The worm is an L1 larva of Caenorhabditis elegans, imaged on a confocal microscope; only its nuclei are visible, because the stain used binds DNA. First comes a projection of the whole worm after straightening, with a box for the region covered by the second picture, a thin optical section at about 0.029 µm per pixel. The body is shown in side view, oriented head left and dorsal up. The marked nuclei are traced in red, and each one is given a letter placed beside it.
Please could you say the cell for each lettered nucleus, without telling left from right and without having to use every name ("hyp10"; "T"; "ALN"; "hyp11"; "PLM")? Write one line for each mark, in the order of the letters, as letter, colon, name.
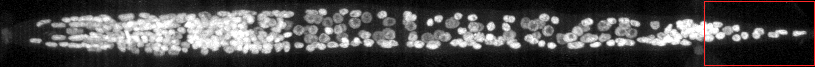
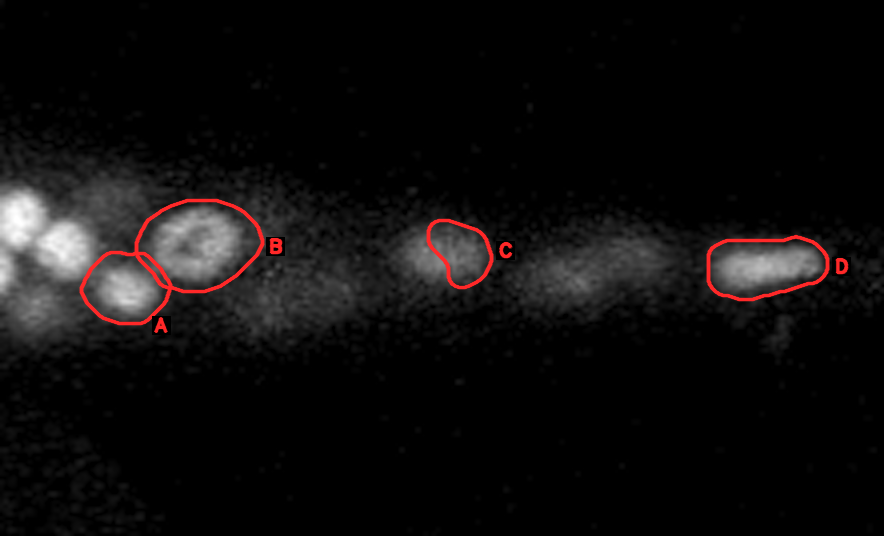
A: PLM
B: T
C: hyp11
D: hyp10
